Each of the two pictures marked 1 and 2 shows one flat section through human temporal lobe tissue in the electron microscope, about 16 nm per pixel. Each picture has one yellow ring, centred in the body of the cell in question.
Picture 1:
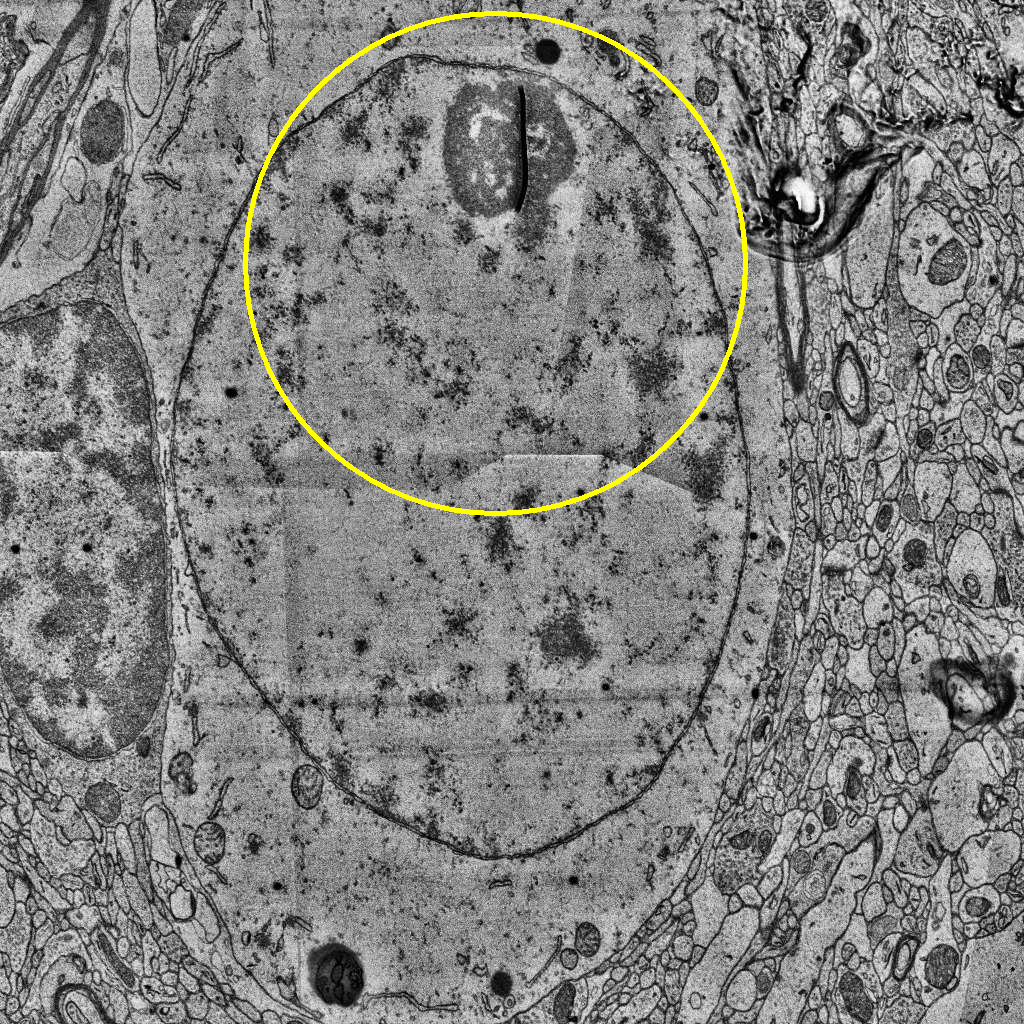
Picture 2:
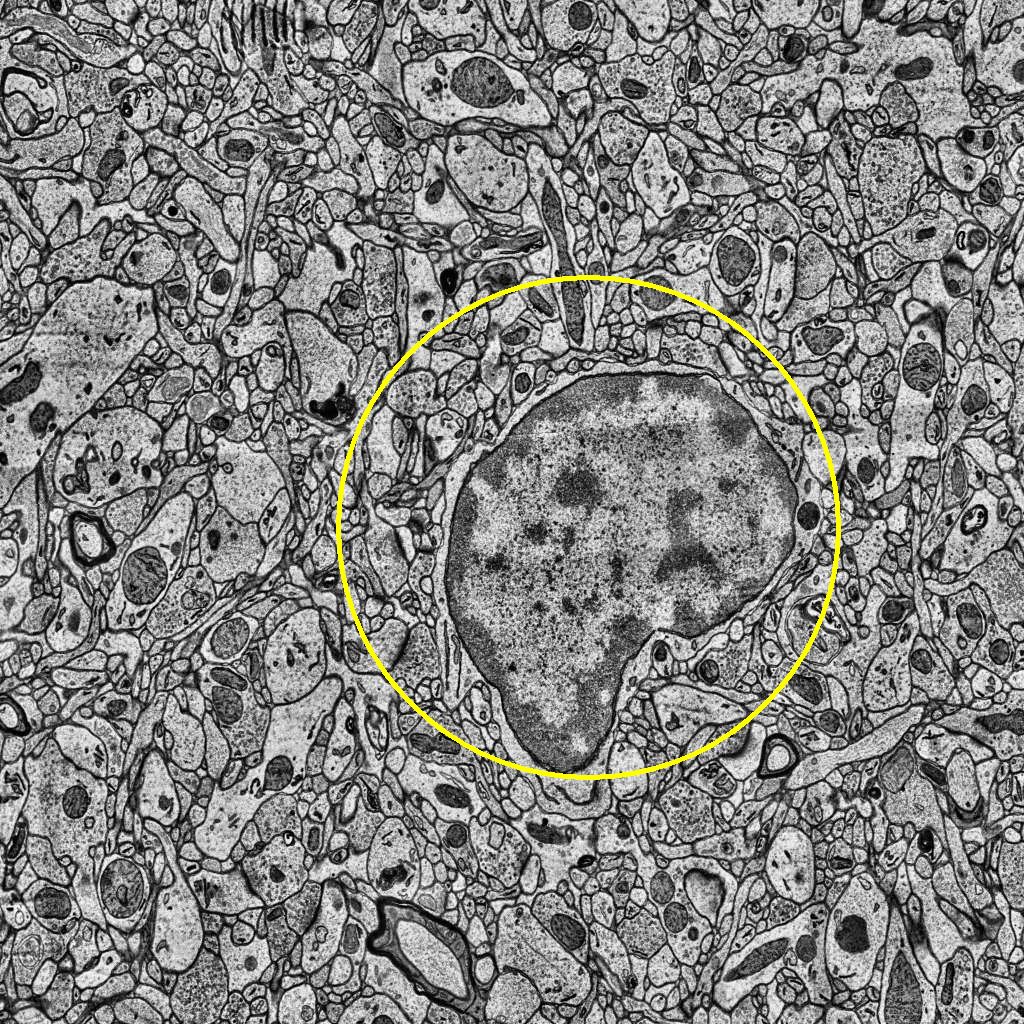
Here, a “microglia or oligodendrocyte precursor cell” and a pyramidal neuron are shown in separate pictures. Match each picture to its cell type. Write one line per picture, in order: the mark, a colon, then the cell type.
1: pyramidal neuron
2: microglia or oligodendrocyte precursor cell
